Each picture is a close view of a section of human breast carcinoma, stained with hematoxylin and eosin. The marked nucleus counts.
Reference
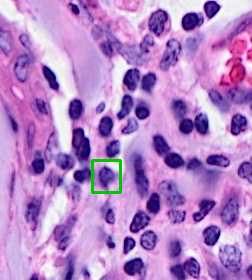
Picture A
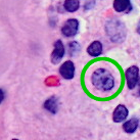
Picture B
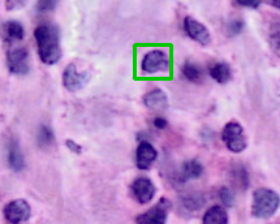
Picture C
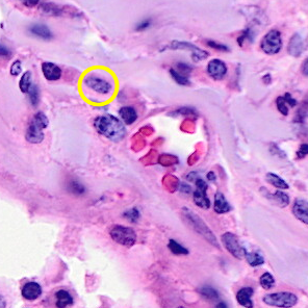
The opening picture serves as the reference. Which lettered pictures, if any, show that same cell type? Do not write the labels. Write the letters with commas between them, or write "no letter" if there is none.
B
